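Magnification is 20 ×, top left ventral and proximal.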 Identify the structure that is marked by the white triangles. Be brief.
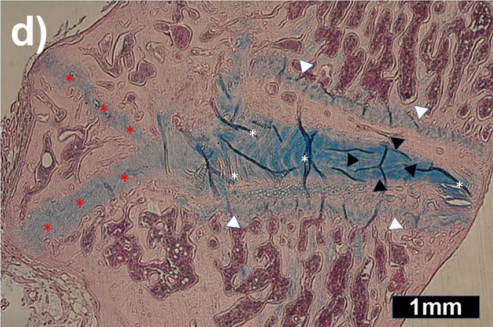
Endplate growth plates.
